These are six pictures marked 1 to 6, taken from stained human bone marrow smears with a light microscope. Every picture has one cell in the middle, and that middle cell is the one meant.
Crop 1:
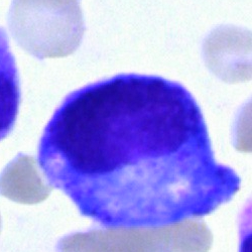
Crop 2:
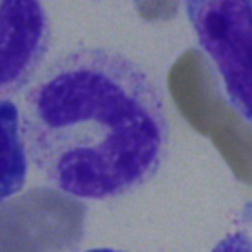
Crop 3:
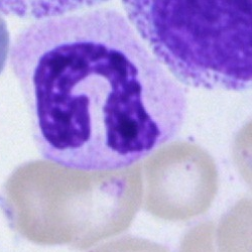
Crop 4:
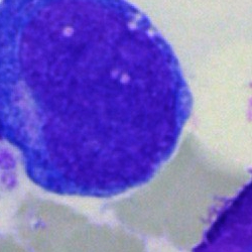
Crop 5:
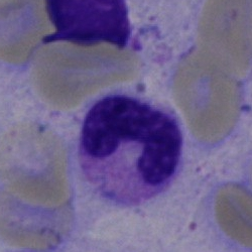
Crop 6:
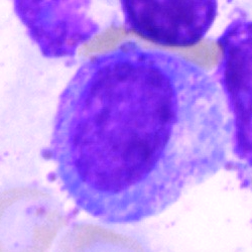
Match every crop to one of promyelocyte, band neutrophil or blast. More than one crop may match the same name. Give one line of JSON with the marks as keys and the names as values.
{"1": "promyelocyte", "2": "band neutrophil", "3": "band neutrophil", "4": "blast", "5": "band neutrophil", "6": "promyelocyte"}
